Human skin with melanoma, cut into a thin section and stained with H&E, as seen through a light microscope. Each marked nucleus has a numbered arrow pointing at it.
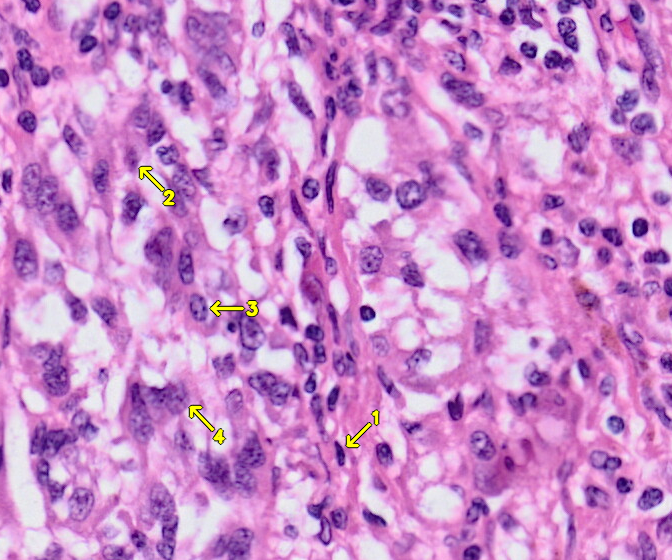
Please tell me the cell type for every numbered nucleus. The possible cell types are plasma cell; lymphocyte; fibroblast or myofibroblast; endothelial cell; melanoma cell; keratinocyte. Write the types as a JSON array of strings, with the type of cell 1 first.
["lymphocyte", "melanoma cell", "melanoma cell", "melanoma cell"]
